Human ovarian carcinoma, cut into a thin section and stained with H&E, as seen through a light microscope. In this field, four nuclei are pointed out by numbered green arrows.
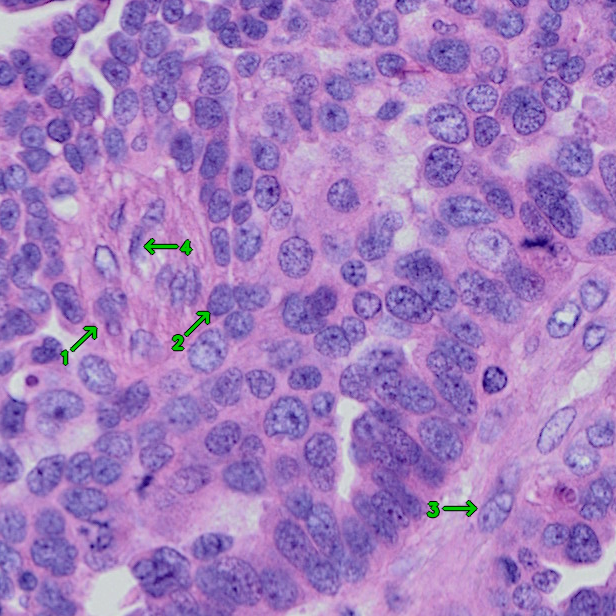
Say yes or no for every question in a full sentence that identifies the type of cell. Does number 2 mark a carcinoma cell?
Yes, and to answer plainly, cell 2 is a carcinoma cell.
